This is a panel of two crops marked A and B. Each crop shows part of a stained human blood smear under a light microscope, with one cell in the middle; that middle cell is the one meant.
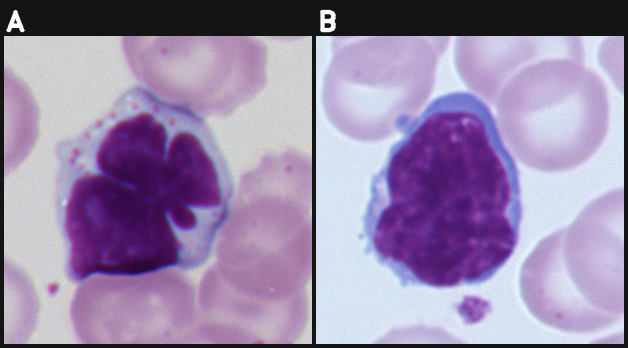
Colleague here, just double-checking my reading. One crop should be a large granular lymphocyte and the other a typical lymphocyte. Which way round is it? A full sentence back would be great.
Among the crops, crop A is a large granular lymphocyte and crop B is a typical lymphocyte.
